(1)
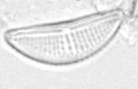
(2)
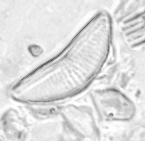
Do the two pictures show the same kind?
Yes, both are Halamphora.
